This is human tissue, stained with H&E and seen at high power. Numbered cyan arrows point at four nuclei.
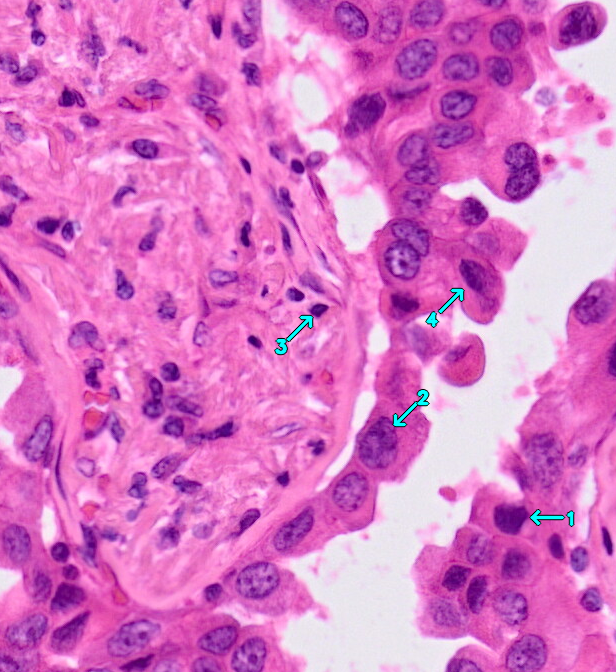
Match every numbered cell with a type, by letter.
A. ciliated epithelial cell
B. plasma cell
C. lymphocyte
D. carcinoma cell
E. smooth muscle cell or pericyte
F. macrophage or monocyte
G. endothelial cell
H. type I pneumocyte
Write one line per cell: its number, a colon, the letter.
1: D
2: D
3: C
4: D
